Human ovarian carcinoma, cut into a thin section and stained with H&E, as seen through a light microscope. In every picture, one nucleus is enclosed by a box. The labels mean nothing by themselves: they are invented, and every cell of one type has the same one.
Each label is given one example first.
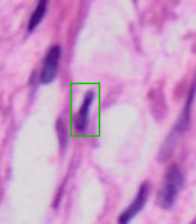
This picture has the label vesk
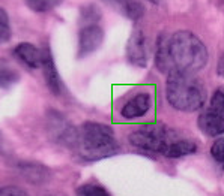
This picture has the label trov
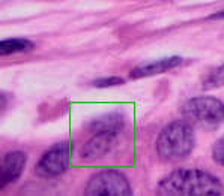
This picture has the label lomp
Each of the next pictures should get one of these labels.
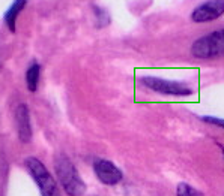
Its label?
vesk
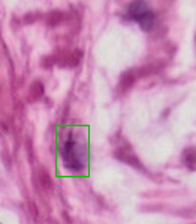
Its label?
vesk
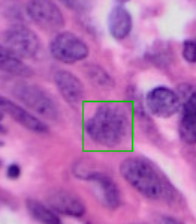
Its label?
lomp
